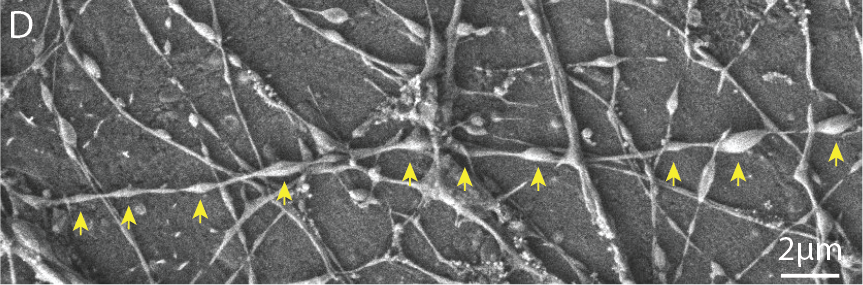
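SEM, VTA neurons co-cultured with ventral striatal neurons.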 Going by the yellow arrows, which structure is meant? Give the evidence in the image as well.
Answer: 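The arrows point at spindle-shaped swellings along thin processes. That points to this answer: free varicosities.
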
